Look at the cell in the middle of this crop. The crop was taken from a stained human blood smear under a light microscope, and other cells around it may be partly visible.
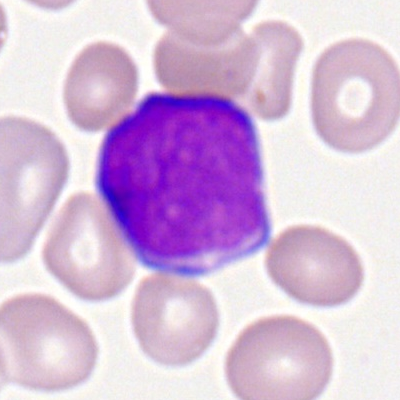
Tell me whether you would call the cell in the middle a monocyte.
no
